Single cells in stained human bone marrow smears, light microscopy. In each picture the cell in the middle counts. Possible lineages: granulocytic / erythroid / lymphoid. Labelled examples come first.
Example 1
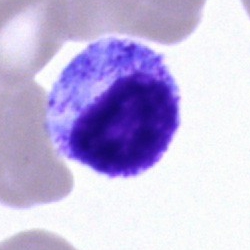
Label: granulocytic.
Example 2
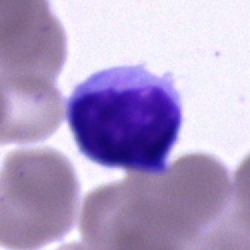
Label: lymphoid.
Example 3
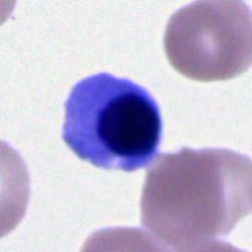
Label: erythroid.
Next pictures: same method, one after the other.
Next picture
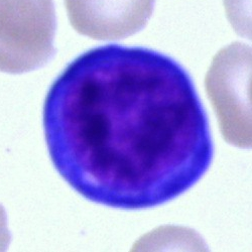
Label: erythroid.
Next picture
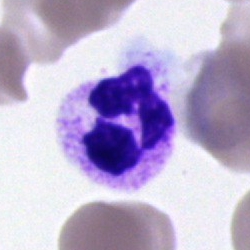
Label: granulocytic.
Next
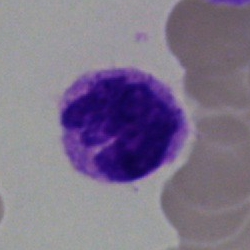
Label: granulocytic.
